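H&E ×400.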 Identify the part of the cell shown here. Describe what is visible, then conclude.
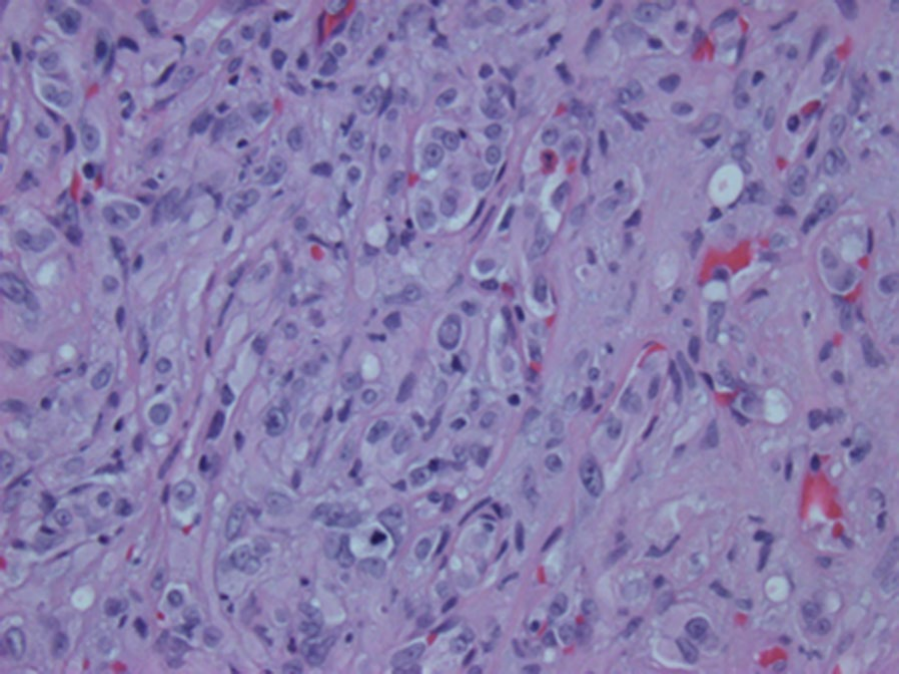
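Scattered round clear spaces lie within the cytoplasm of some cells. The clear spaces push against the nucleus in some cells.
Answer: cytoplasmic vacuoles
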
